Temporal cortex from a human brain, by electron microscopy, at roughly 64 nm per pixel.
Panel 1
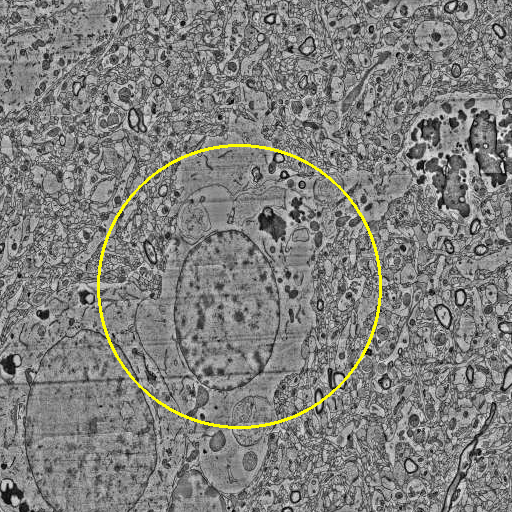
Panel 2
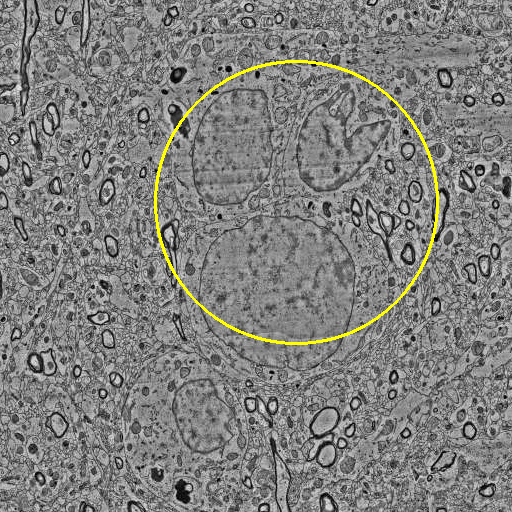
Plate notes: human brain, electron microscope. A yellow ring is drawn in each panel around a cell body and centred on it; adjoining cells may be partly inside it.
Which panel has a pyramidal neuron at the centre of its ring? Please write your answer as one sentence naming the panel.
The ring in Panel 2 is centred on such a cell.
